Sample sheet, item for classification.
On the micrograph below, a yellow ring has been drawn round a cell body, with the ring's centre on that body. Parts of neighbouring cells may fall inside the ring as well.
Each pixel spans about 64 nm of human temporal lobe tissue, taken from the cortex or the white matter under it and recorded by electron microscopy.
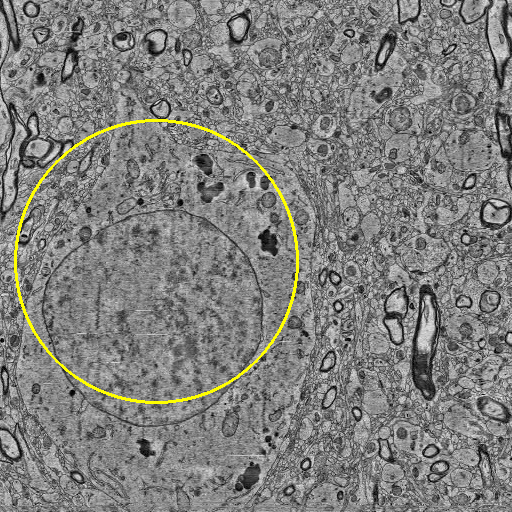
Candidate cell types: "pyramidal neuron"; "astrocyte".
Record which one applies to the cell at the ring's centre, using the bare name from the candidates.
pyramidal neuron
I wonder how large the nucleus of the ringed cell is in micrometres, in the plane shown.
In this plane, the nucleus measures approximately 14 micrometres across.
